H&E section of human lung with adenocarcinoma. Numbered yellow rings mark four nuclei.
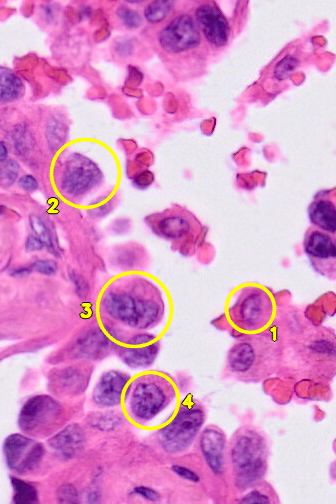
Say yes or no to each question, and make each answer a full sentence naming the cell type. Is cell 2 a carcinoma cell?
Yes, the cell referred to as number 2 is a carcinoma cell.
